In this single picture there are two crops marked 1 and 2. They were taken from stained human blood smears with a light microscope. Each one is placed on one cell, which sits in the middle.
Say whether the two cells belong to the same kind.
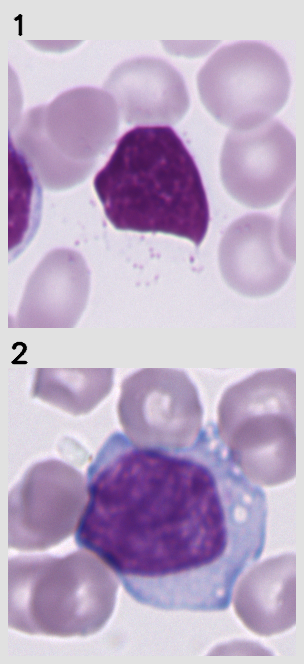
no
